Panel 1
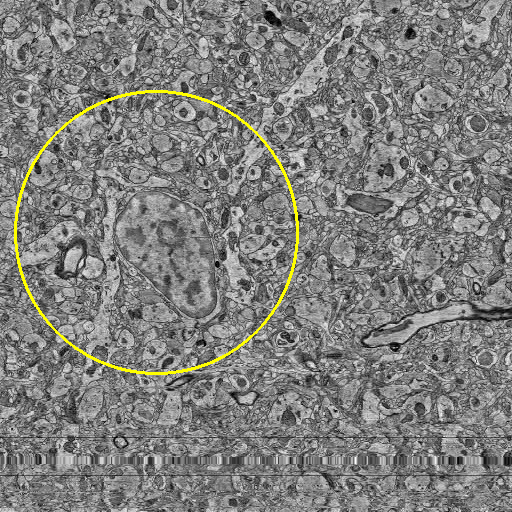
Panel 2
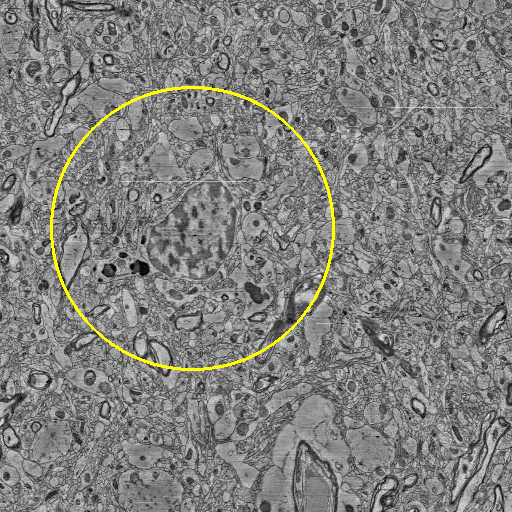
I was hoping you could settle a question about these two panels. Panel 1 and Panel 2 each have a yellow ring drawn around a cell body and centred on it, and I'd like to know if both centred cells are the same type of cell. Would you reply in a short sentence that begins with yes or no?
Yes, both are the same type of cell.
